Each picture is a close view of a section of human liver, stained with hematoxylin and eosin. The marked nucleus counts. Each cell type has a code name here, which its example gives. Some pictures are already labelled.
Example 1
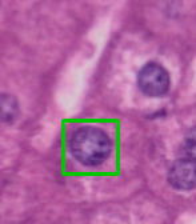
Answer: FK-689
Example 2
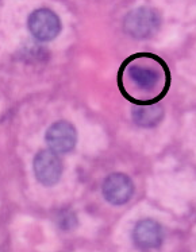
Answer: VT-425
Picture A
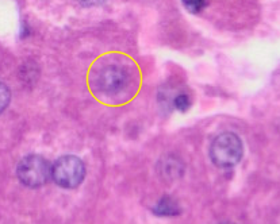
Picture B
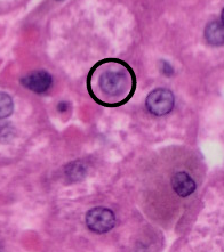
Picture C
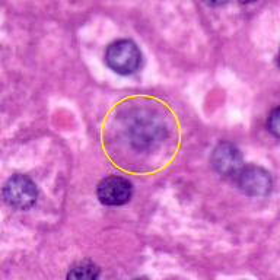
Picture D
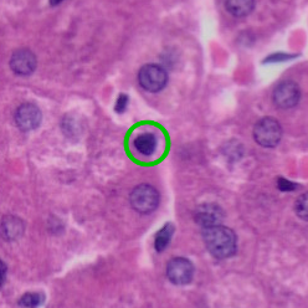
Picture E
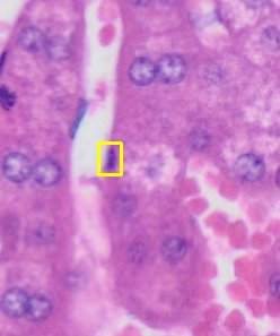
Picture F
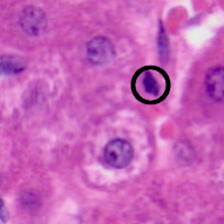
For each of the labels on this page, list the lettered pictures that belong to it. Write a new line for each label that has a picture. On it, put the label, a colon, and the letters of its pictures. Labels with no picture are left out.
FK-689: A, B, C
VT-425: D, E, F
